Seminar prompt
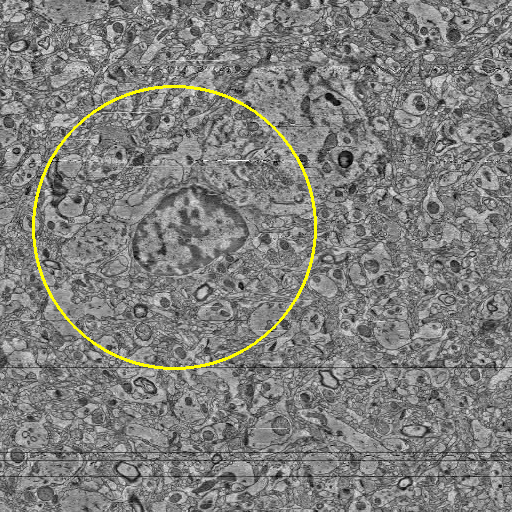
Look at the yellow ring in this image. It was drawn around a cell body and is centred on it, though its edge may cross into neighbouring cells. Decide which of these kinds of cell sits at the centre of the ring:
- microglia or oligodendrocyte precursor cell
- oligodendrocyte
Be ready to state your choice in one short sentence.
The kind of cell at the ring's centre is a microglial cell or oligodendrocyte precursor cell.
